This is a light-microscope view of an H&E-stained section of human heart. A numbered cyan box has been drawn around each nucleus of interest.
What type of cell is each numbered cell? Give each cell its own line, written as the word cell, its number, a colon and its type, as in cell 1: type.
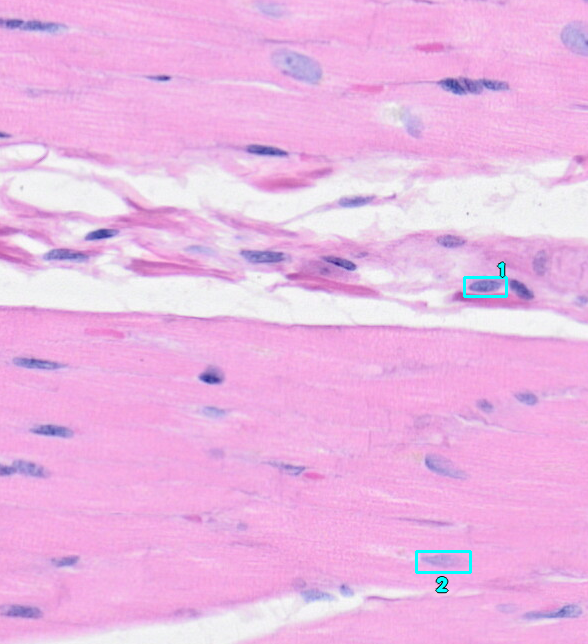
cell 1: fibroblast
cell 2: cardiomyocyte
